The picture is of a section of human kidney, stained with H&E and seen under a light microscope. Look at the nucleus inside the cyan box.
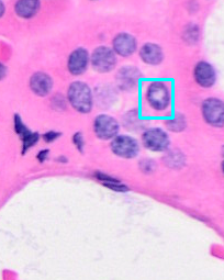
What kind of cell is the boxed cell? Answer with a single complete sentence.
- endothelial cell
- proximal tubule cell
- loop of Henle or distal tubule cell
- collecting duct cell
Considered by cell type, the boxed cell is a collecting duct cell.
